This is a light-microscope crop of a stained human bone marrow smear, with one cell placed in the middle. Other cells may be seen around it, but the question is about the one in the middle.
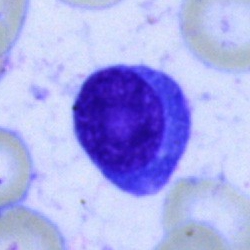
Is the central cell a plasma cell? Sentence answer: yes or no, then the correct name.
Yes, shown in the middle of the crop is a plasma cell.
